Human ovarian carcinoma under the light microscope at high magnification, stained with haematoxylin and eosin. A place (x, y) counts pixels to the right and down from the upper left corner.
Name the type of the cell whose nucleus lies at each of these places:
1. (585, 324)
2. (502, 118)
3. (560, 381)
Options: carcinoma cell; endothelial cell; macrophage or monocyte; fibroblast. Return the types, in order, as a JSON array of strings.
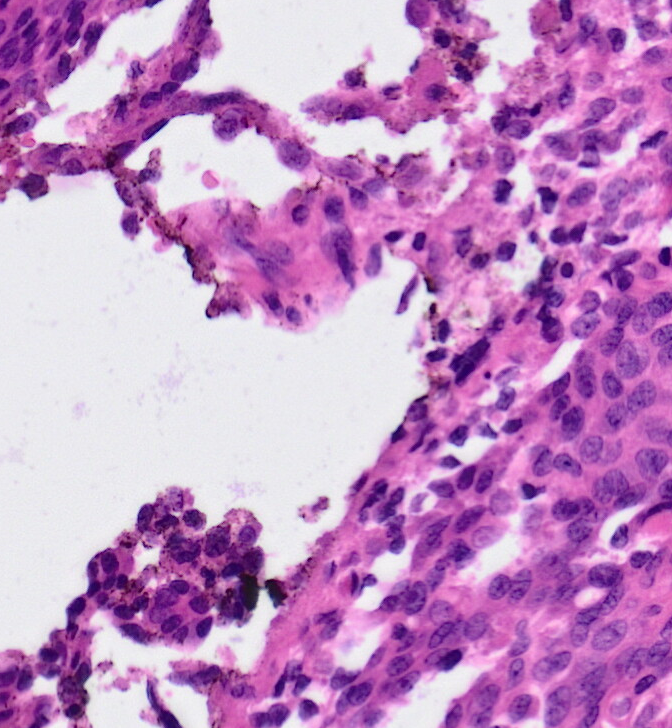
["macrophage or monocyte", "carcinoma cell", "carcinoma cell"]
